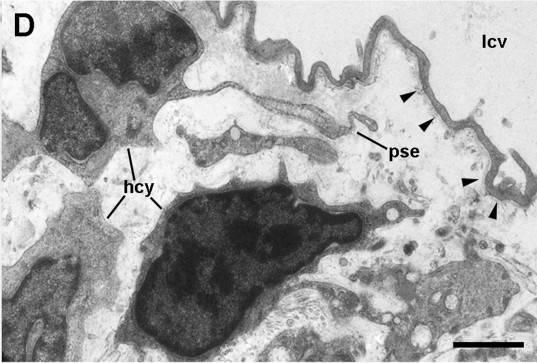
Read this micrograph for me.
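This electron micrograph shows the thin pavement epithelium of the respiratory lamina facing the lung cavity, with hemocytes lying in the blood sinus beneath it. The epithelial cell forms an extremely thin, wavy sheet resting on its basal lamina, so that only this delicate layer separates the sinus from the air space. Below it lie hemocytes with large, irregularly shaped nuclei that contain clumps of dense chromatin. One hemocyte extends a slender, flattened cytoplasmic process, a pseudopodium, along the underside of the epithelium. The sinus between the cells holds pale plasma with scattered fine particulate material.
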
